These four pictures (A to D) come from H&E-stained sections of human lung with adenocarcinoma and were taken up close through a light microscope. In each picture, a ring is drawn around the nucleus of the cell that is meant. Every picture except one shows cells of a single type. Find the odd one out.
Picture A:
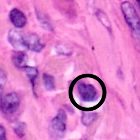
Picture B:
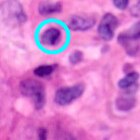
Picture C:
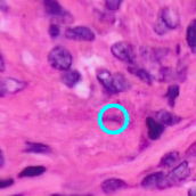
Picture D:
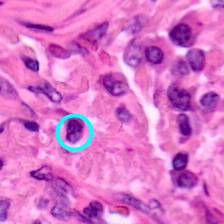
B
